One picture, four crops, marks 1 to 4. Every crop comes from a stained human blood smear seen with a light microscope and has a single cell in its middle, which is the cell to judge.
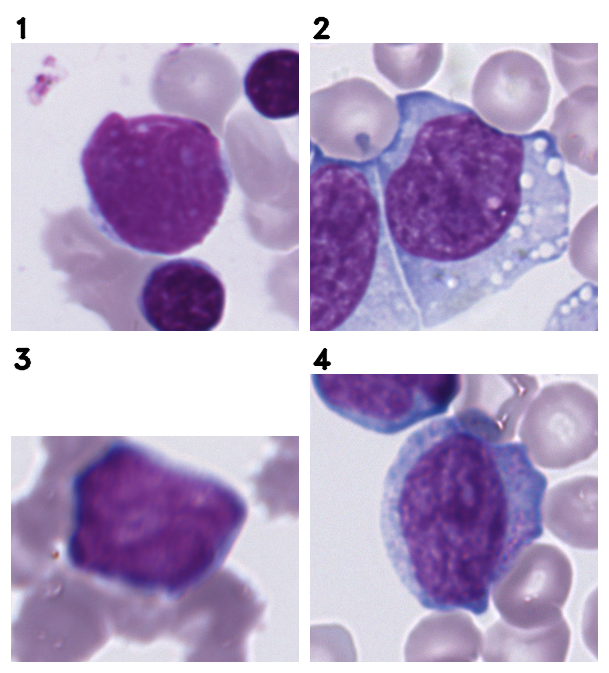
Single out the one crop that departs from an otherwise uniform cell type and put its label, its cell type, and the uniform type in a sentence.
Crop 4 holds a promyelocyte, unlike the remaining crops, all of which hold blasts.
